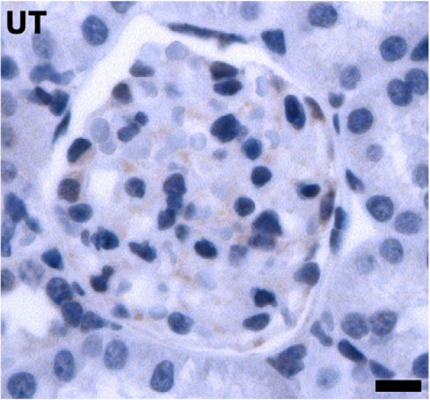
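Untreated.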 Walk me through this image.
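This is a kidney section centred on a glomerulus, surrounded by tubules. The glomerular tuft consists of compact, dark blue nuclei of varying shapes between open capillary loops, some containing pale red blood cells. A narrow clear space and a thin capsule separate the tuft from the surrounding tubular epithelium, whose cells have round, paler nuclei. Brown staining is at most faint and scattered within the tuft.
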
